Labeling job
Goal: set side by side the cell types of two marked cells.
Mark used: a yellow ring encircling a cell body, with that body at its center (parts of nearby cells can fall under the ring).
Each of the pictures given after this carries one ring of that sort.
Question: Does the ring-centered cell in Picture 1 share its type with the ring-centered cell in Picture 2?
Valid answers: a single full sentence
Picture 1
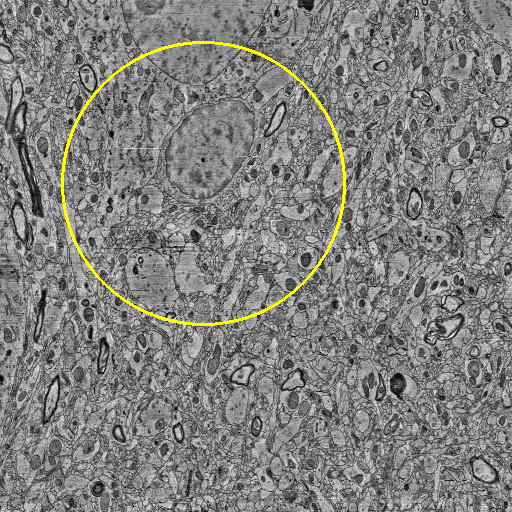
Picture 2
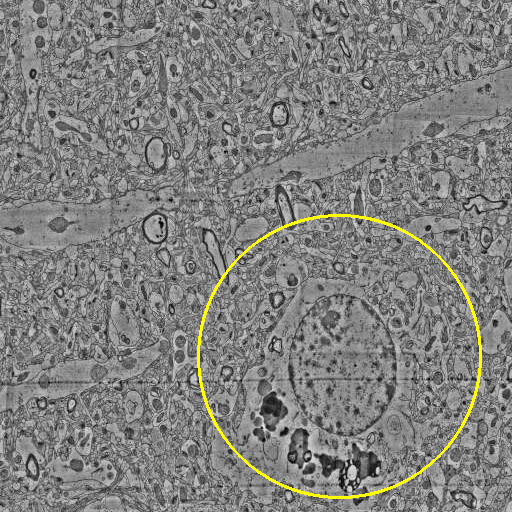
No, in Pictures 1 and 2 the cells at the ring centers have separate types.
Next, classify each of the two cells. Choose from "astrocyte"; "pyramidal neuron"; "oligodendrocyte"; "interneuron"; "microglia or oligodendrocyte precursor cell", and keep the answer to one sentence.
In the first picture it is an oligodendrocyte; in the second it is an astrocyte.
